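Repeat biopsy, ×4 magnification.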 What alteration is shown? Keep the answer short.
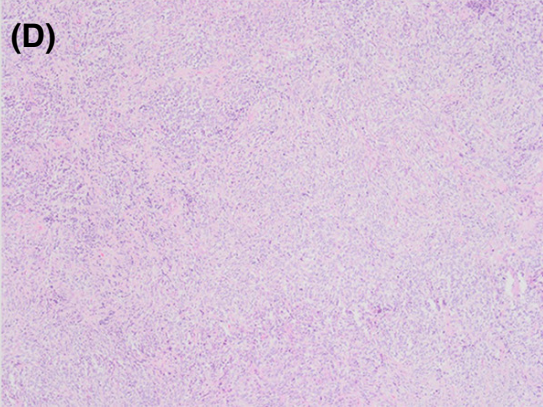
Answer: Cellular tumour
